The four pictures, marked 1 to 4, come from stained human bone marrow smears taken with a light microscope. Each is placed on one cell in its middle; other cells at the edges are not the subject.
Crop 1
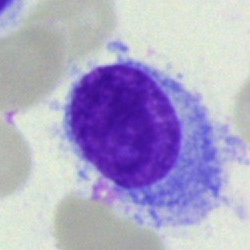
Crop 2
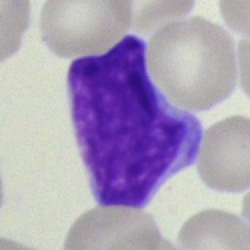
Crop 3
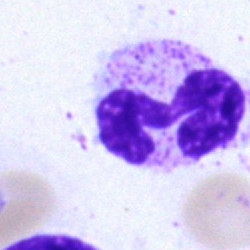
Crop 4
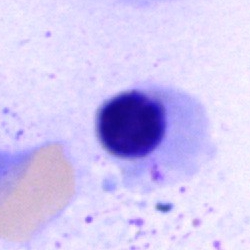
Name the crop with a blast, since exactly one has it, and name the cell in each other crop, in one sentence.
In crop 2 the central cell is a blast, while crop 1 is a hairy cell, crop 3 is a neutrophil and crop 4 is a normoblast.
